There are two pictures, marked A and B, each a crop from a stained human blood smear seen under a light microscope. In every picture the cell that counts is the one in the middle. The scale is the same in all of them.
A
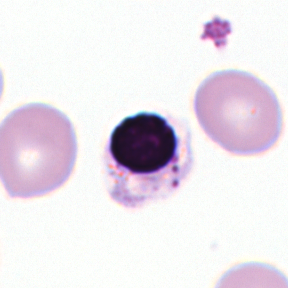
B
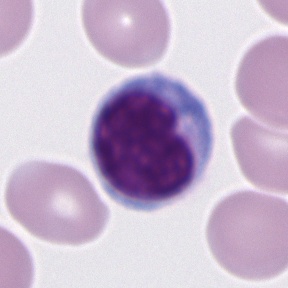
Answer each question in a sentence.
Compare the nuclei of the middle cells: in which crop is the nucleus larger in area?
Larger is the nucleus in picture B, at roughly 2.5 times the area of the other.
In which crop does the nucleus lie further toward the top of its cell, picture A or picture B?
In picture A the nucleus is shifted more toward the top.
